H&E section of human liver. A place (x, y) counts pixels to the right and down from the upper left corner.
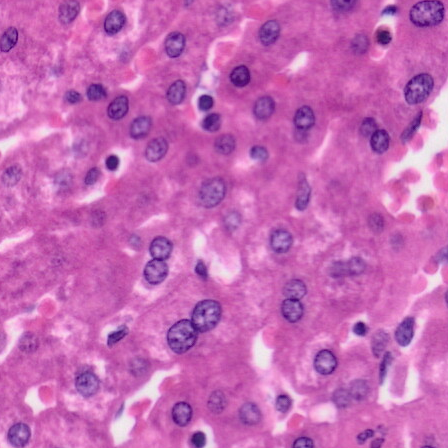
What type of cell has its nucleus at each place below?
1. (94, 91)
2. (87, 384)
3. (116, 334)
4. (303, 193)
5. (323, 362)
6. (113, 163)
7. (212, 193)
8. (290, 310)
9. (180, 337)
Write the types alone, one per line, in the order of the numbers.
fibroblast or stellate cell
hepatocyte
endothelial cell
Kupffer cell
hepatocyte
lymphocyte
hepatocyte
hepatocyte
hepatocyte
